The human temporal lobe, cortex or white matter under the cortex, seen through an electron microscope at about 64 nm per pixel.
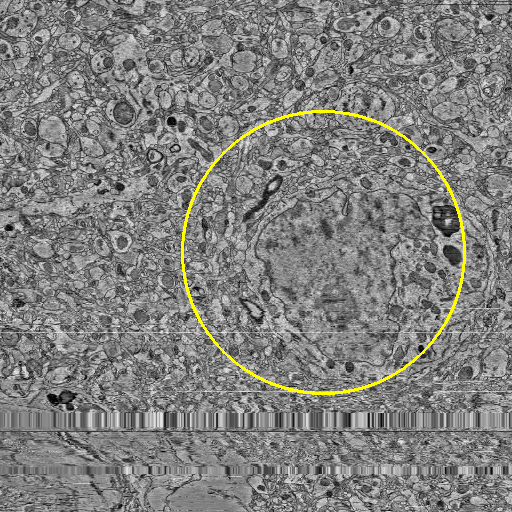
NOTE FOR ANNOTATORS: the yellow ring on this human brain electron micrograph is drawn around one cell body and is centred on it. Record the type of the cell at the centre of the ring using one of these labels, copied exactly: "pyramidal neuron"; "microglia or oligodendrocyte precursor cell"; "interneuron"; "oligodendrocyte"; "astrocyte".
interneuron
